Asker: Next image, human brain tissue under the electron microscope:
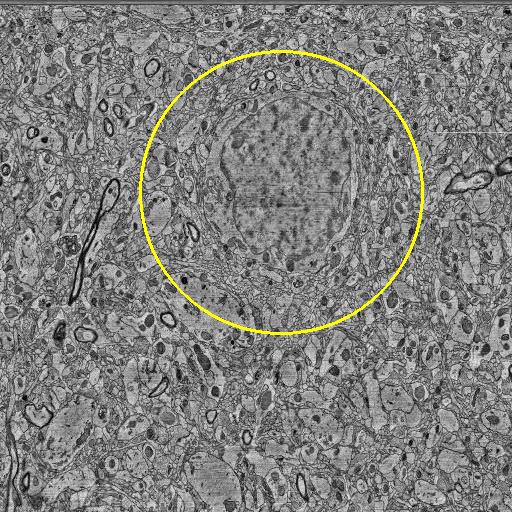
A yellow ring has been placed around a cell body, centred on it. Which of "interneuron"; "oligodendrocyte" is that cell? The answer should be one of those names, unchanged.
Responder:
interneuron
